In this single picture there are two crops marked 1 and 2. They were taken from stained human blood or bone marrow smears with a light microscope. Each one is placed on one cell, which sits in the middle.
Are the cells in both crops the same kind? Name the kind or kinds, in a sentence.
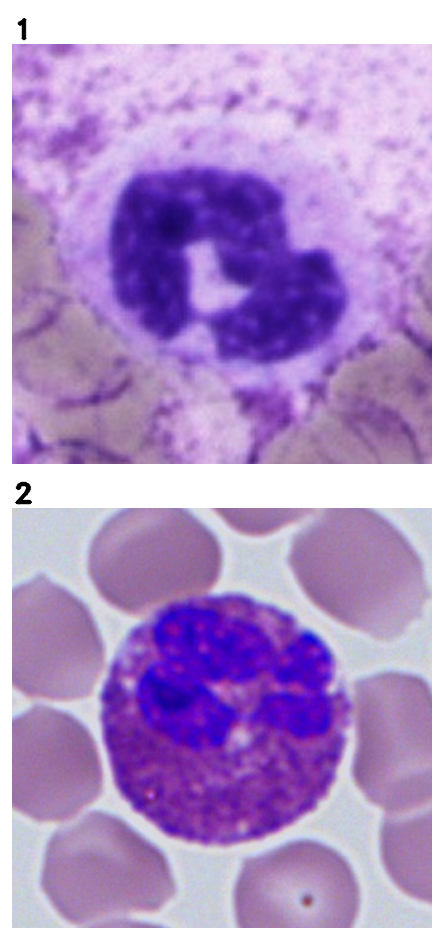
No, crop 1 has a segmented neutrophil in the middle, and crop 2 has an eosinophil.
